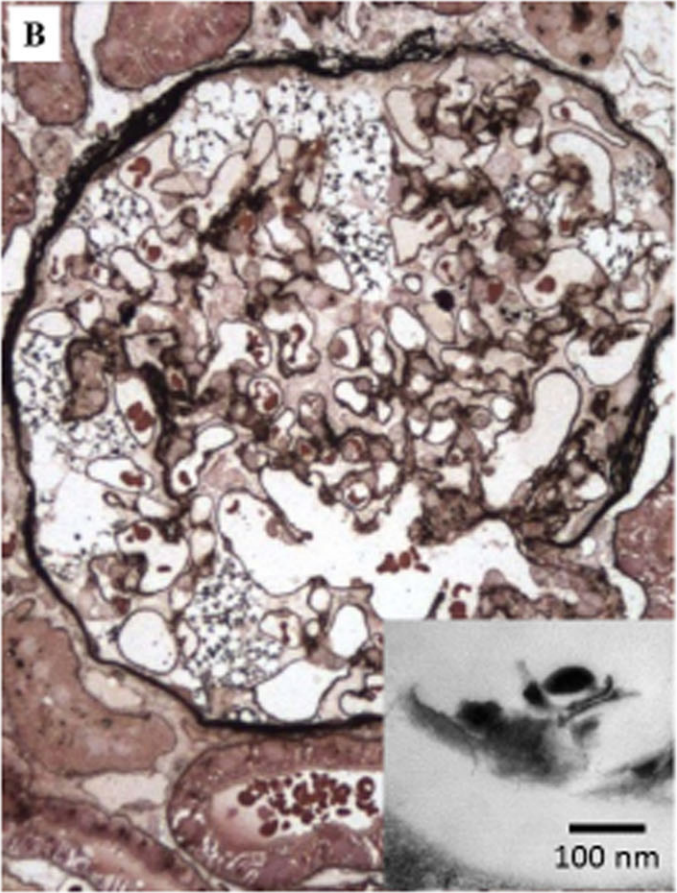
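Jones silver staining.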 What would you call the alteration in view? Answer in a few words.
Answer: Massive vacuolization of podocytes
